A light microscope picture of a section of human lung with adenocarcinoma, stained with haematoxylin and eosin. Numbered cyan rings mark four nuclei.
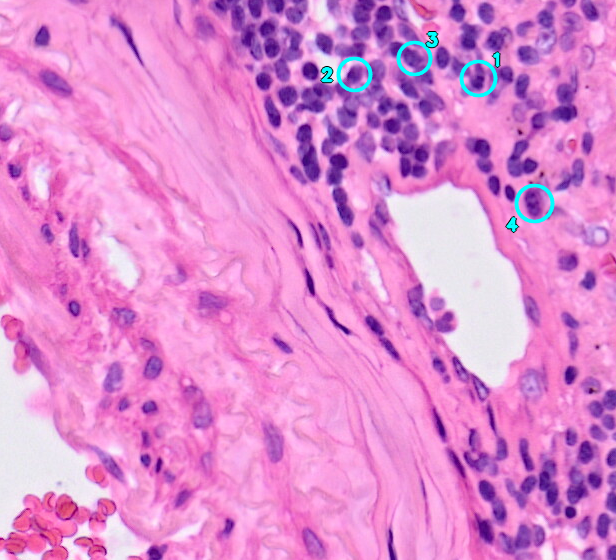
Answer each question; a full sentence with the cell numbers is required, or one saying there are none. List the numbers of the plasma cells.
Cell 4 is a plasma cell, which is true of none of the other numbered cells.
